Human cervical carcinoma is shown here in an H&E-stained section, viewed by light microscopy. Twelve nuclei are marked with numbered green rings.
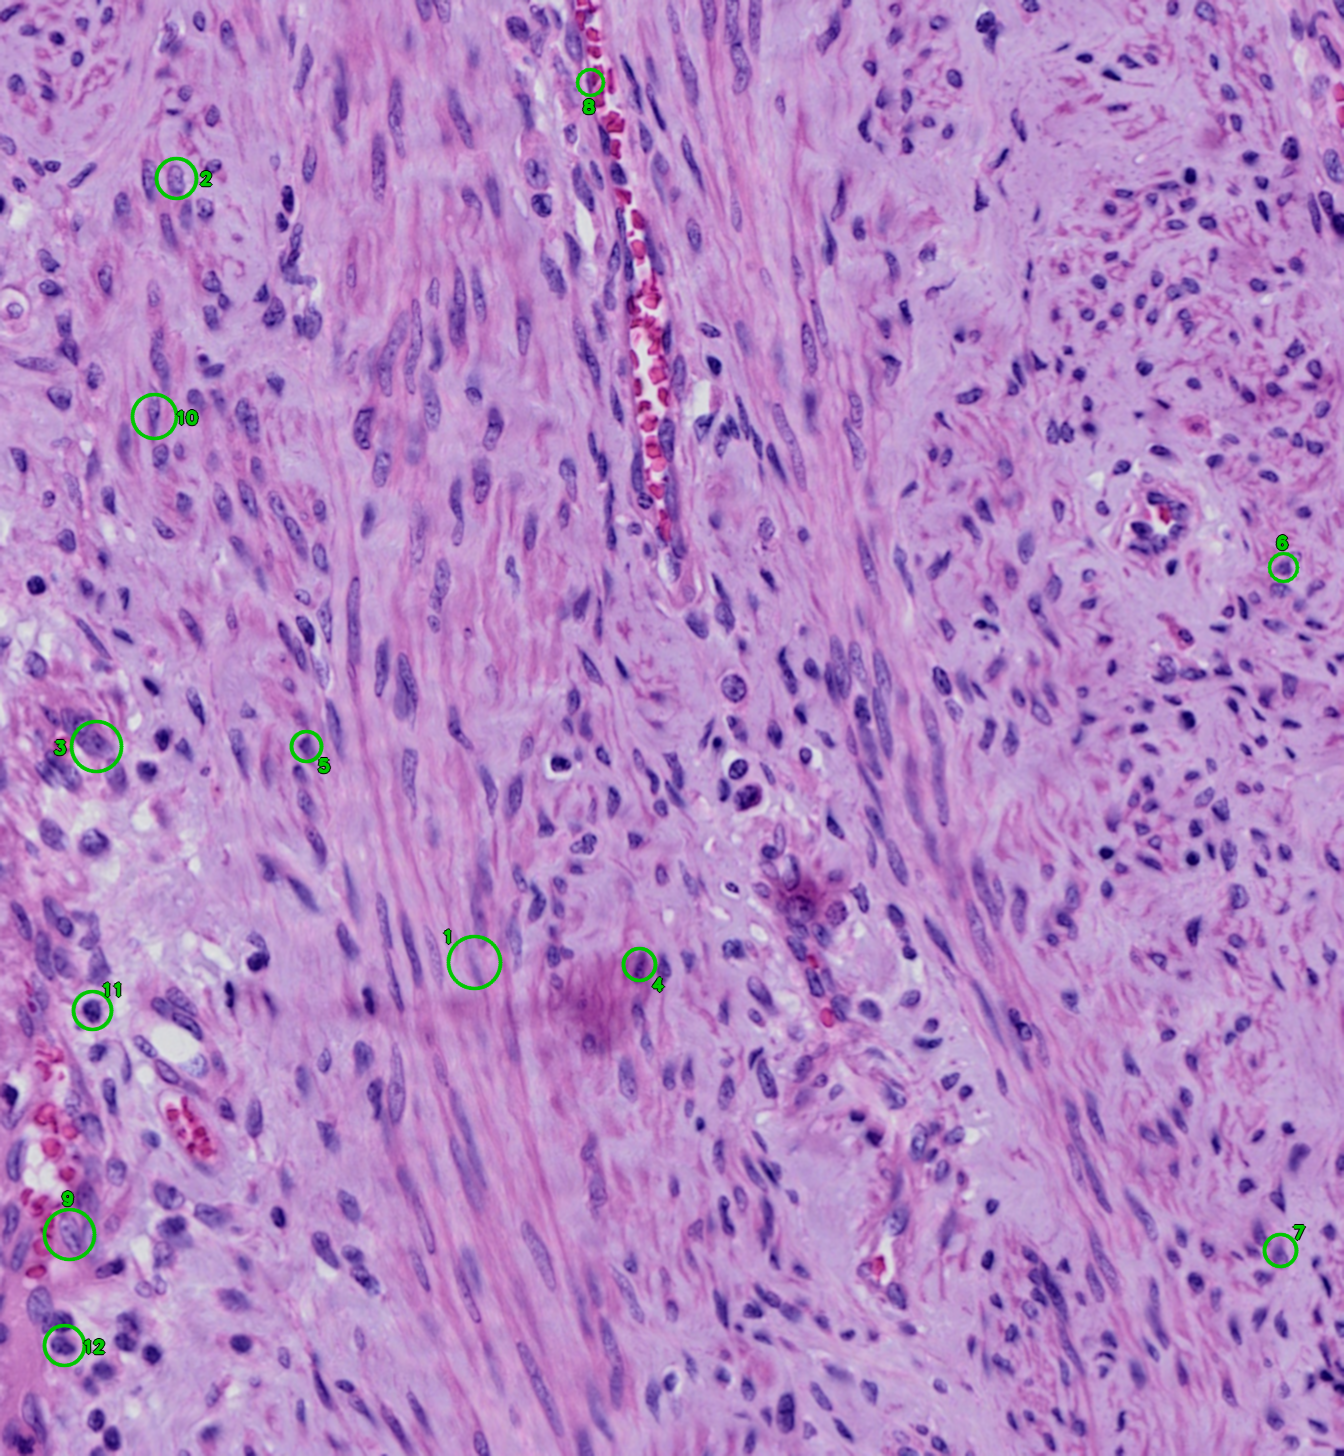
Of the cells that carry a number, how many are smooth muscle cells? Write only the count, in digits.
7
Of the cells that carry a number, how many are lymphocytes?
2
